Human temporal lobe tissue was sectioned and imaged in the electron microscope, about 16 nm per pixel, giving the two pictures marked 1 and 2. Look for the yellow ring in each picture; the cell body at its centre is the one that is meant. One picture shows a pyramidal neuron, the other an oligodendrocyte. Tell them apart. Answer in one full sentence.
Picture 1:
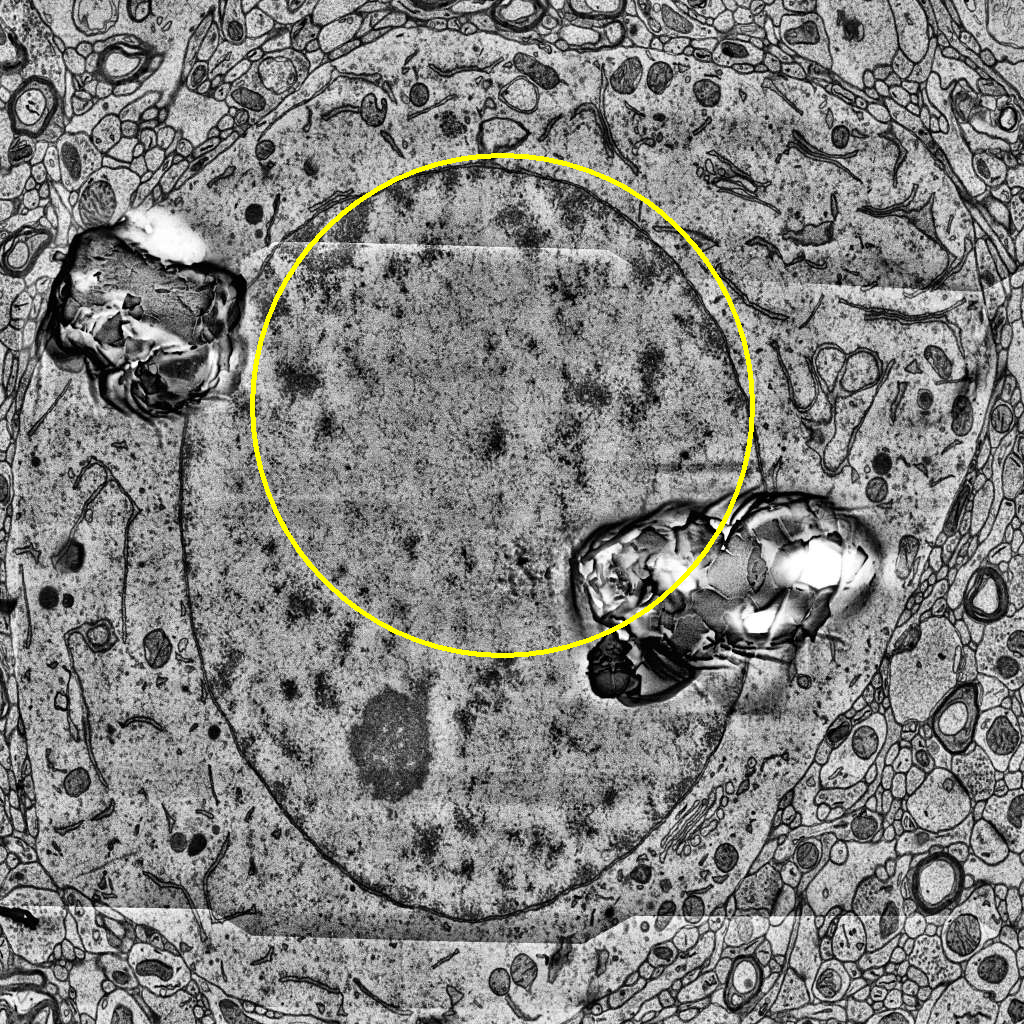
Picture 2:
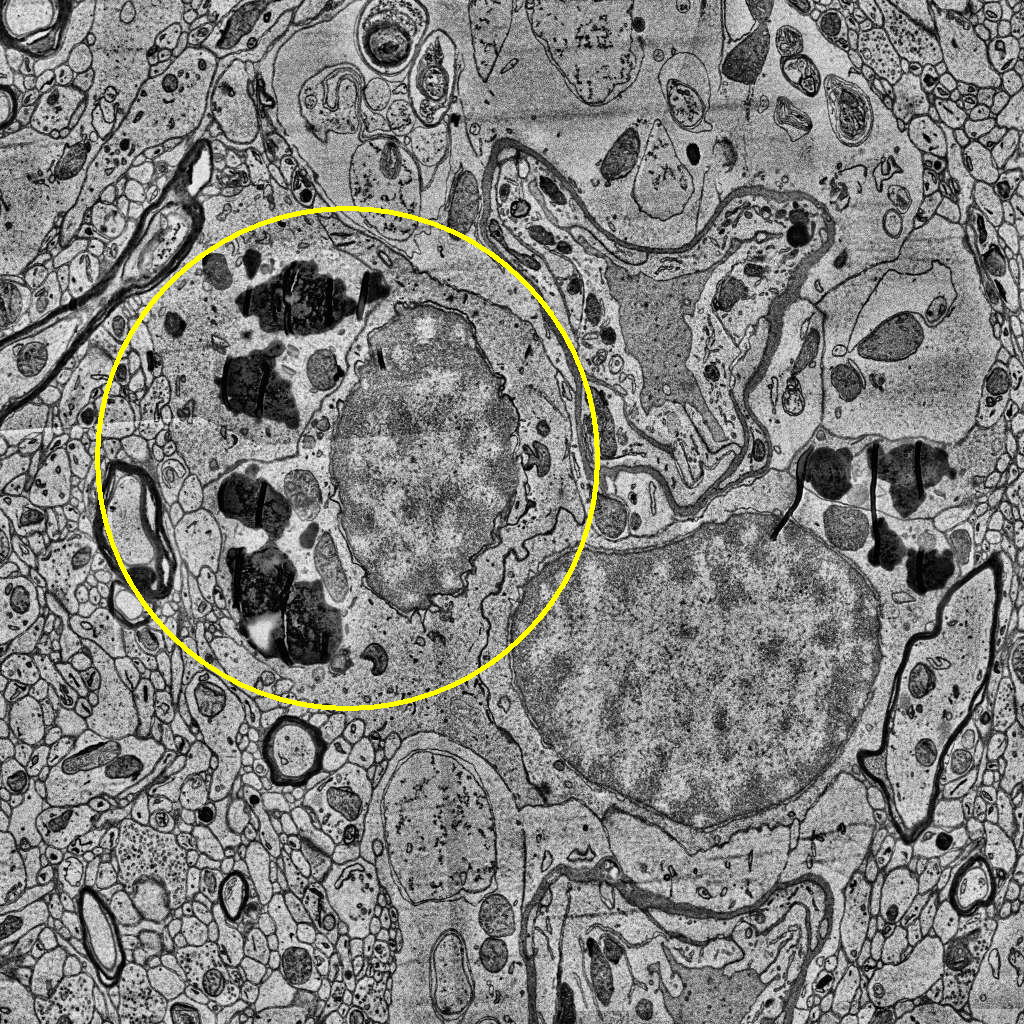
Picture 1 is of a pyramidal neuron, and picture 2 is of an oligodendrocyte.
